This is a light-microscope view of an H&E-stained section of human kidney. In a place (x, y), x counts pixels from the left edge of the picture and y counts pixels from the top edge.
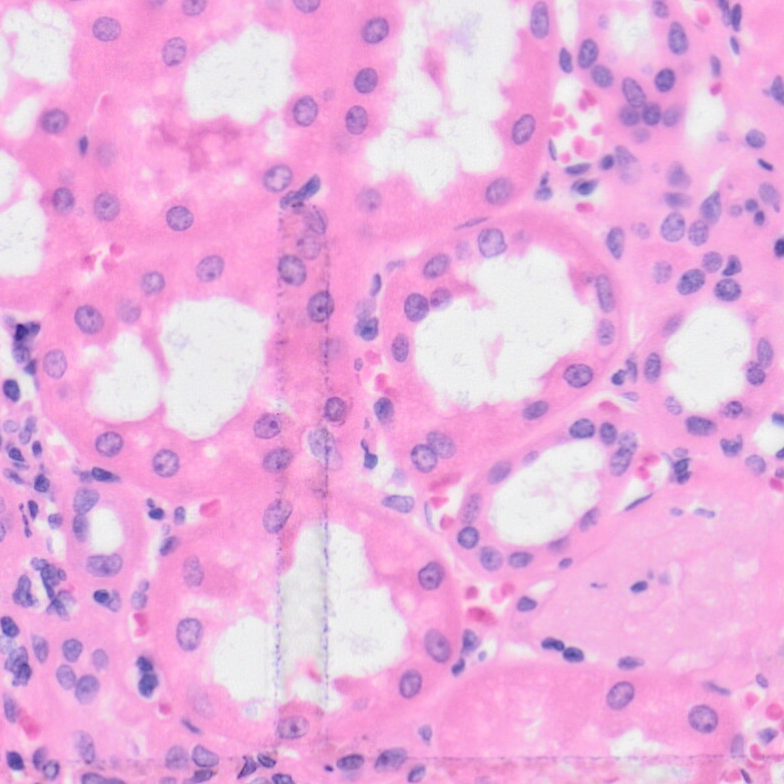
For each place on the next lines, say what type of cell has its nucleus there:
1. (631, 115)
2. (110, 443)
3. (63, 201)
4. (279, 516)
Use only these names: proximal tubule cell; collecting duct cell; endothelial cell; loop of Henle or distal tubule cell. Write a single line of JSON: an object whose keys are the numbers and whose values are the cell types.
{"1": "collecting duct cell", "2": "proximal tubule cell", "3": "proximal tubule cell", "4": "proximal tubule cell"}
